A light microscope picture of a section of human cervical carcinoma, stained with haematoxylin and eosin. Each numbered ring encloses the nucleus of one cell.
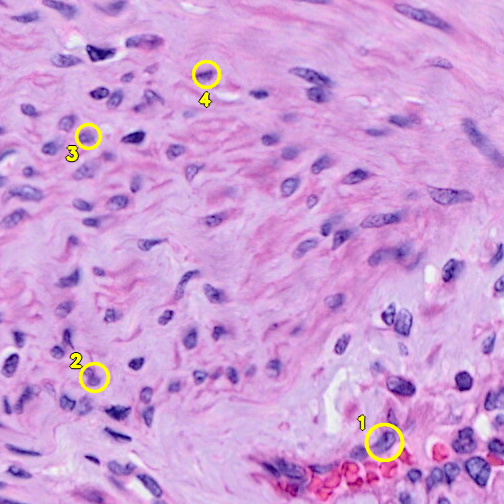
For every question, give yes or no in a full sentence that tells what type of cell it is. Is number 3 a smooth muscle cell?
Yes, number 3 corresponds to a smooth muscle cell.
